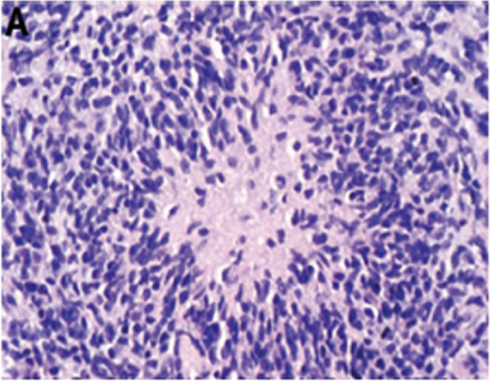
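This tumour tissue shows a pseudopalisade: densely packed tumour cells gathered around a small central pale zone. The tumour cells have elongated, oval to spindle-shaped, darkly purple nuclei with scant pale cytoplasm. Around the centre the nuclei line up radially, pointing toward the pale area like the spokes of a wheel. Away from the centre the cells are crowded and arranged in streams.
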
